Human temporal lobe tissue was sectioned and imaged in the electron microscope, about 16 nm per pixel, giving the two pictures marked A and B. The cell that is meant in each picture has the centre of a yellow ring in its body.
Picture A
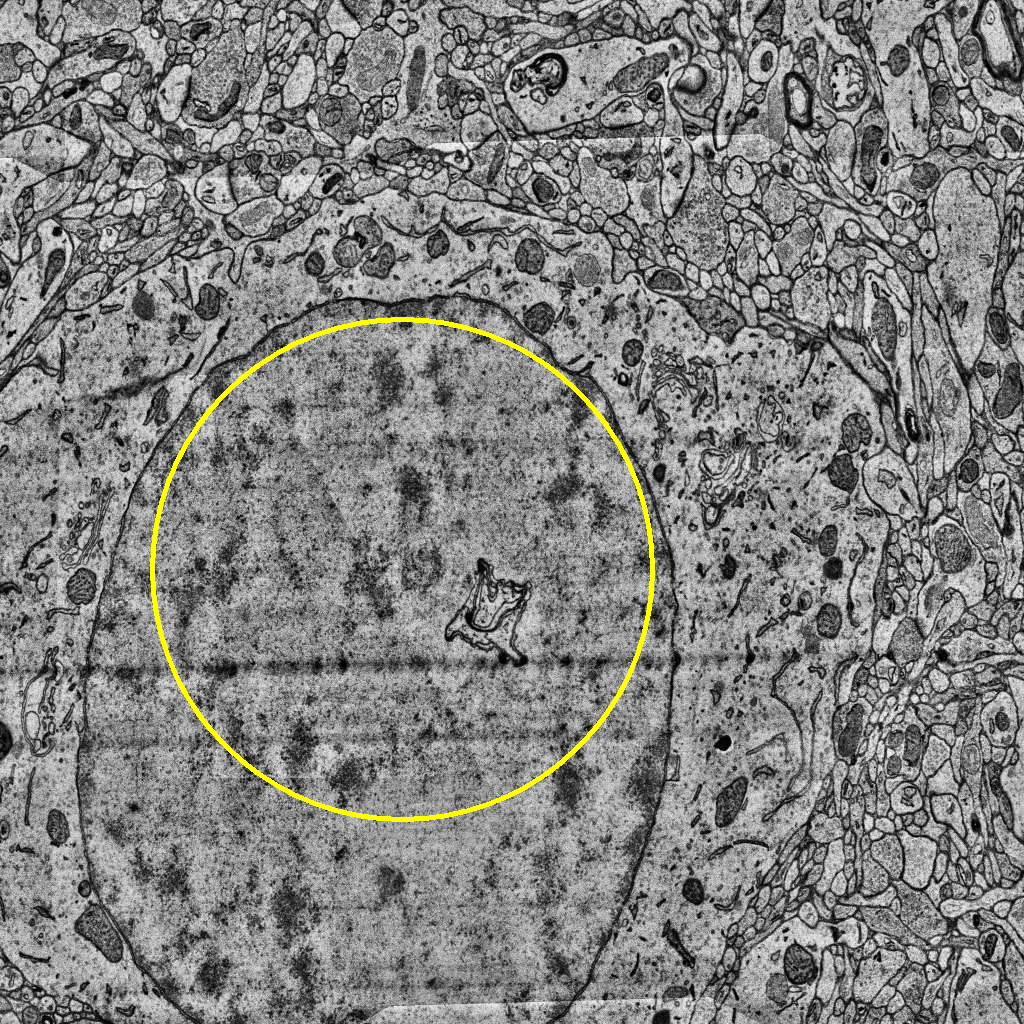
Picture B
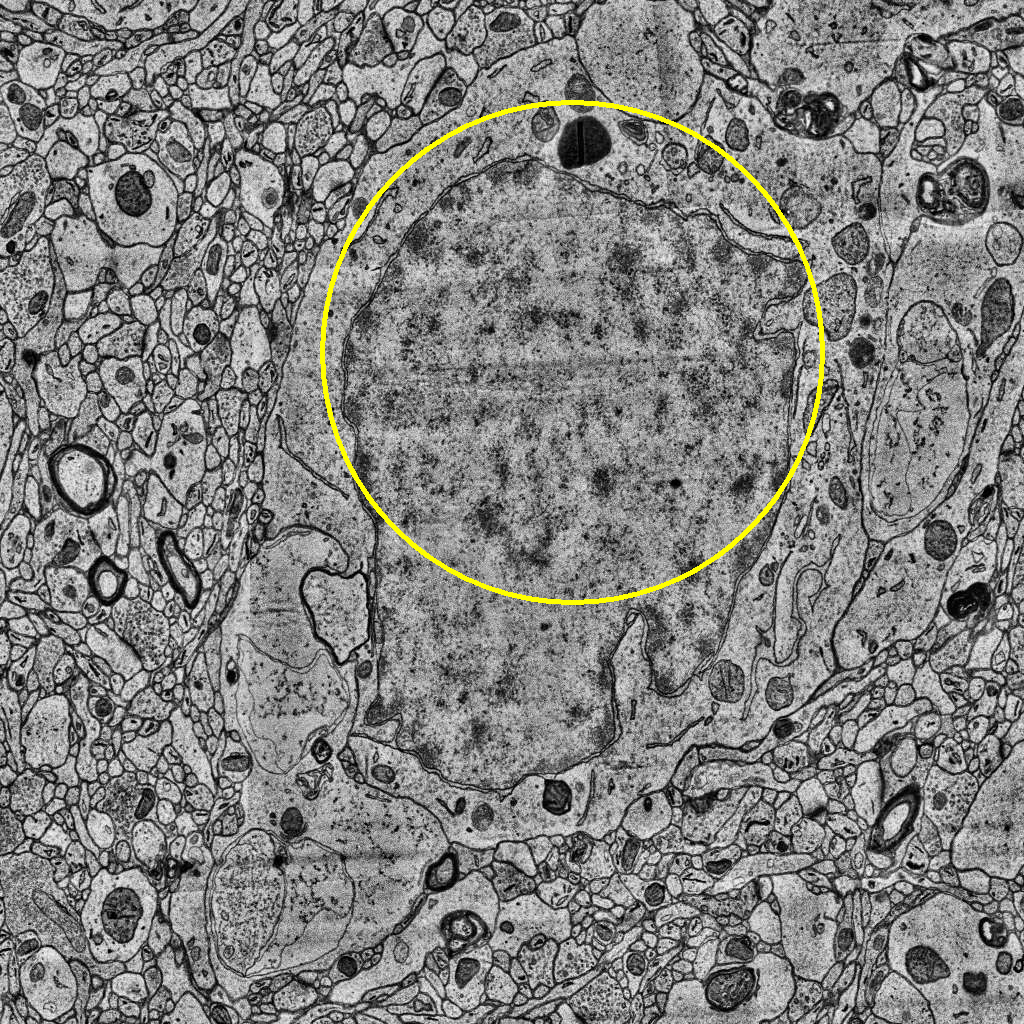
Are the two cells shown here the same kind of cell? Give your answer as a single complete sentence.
No. Picture A shows a pyramidal neuron, but picture B shows an interneuron.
